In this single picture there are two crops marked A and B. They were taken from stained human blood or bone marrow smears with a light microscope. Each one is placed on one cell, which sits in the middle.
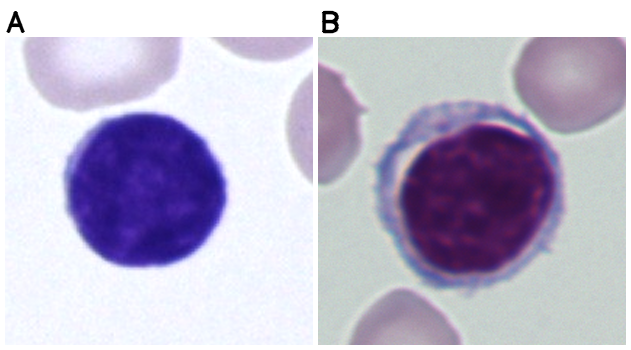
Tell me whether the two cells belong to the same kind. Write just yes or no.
yes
